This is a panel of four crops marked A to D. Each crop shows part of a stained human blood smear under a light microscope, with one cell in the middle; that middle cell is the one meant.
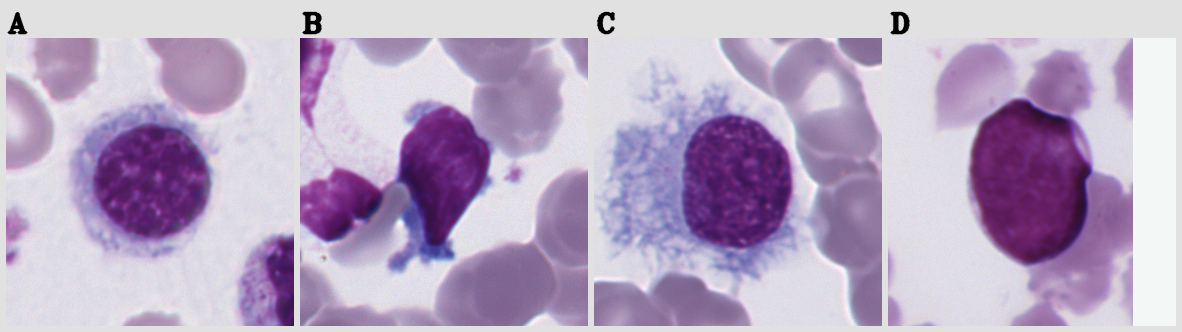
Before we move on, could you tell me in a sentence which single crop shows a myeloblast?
So the crop with a myeloblast at its center is crop D.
